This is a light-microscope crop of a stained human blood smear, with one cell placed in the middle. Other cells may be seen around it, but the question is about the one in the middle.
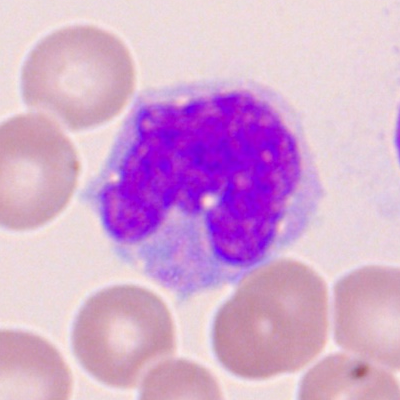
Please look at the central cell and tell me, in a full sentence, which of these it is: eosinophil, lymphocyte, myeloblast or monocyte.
At the middle of the frame sits a monocyte.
